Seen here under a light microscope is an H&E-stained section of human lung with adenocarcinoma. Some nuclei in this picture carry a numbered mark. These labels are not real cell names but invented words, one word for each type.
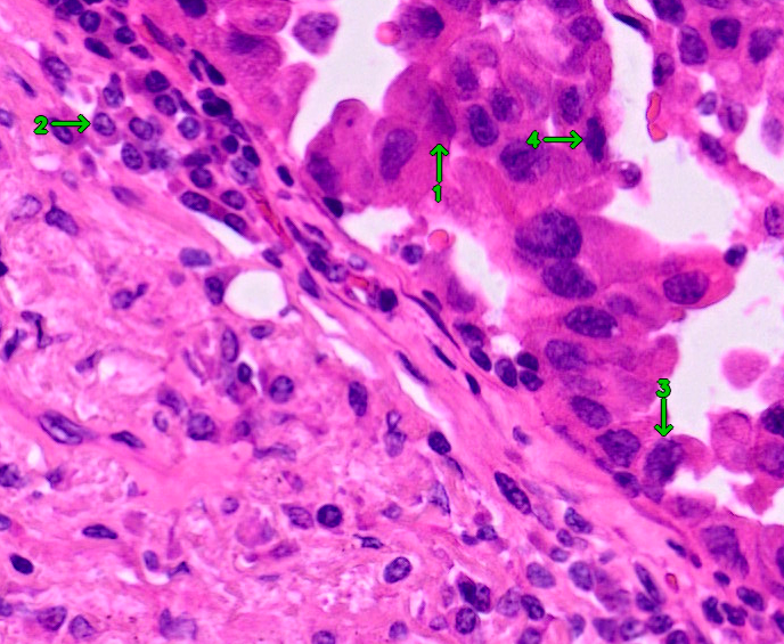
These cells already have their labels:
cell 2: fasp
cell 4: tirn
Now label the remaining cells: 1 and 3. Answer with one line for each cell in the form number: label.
1: tirn
3: tirn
